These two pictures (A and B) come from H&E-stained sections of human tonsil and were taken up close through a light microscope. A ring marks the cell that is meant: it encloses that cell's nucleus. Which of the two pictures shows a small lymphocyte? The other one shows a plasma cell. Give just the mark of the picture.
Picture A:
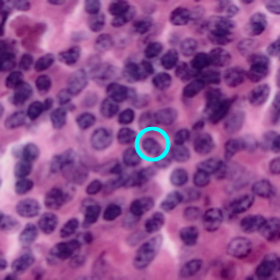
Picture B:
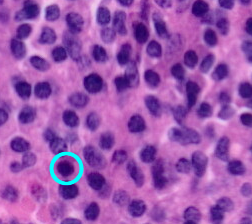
A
